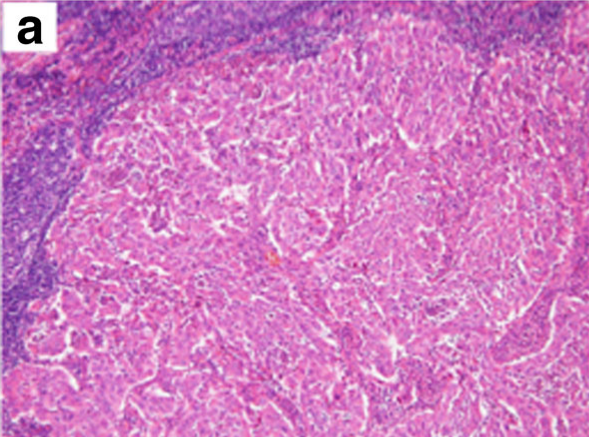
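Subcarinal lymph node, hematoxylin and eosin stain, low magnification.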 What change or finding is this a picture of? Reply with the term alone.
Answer: Solid proliferation of cancer cells.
